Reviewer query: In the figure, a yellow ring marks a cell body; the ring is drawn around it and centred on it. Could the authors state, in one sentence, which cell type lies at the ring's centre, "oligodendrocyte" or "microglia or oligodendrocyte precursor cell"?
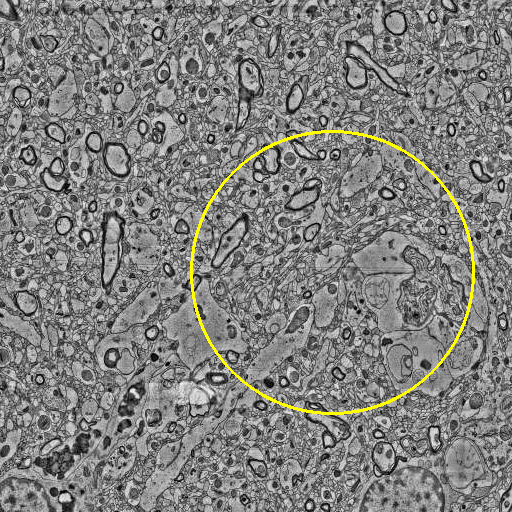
The ring is centred on a microglial cell or oligodendrocyte precursor cell.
